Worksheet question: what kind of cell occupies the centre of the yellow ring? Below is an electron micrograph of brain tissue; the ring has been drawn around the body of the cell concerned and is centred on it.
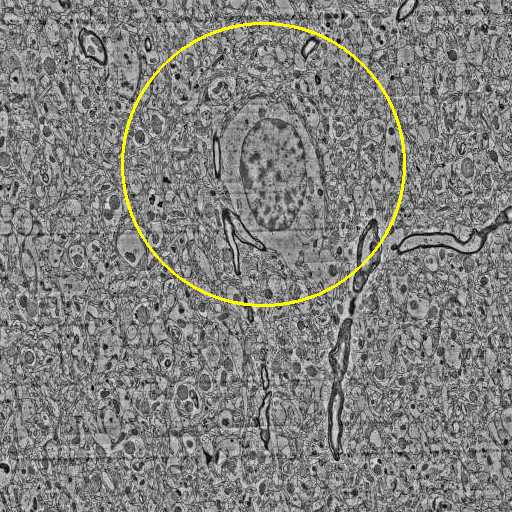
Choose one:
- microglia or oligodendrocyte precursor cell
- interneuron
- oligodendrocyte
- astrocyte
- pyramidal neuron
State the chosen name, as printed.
astrocyte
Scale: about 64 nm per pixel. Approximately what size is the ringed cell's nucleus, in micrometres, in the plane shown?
Approximately 7 by 4 micrometers in this plane.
